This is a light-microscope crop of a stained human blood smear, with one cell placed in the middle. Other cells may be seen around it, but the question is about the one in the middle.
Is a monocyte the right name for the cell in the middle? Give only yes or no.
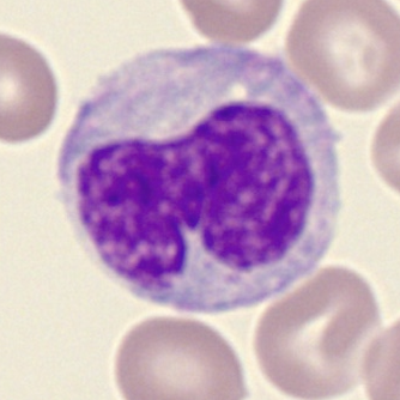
yes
